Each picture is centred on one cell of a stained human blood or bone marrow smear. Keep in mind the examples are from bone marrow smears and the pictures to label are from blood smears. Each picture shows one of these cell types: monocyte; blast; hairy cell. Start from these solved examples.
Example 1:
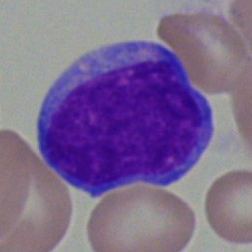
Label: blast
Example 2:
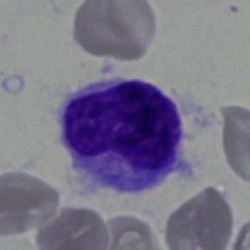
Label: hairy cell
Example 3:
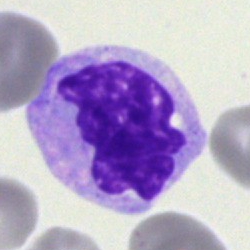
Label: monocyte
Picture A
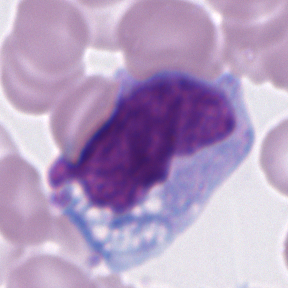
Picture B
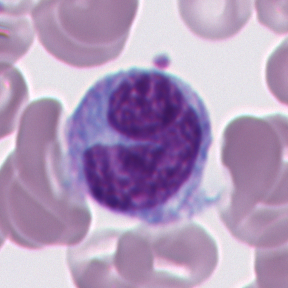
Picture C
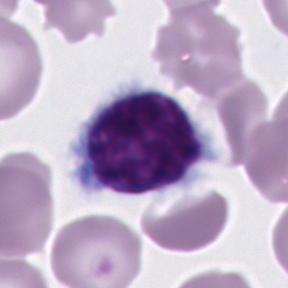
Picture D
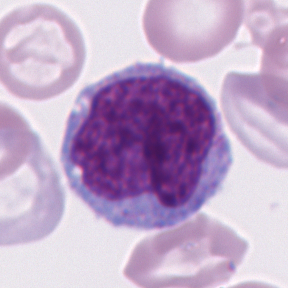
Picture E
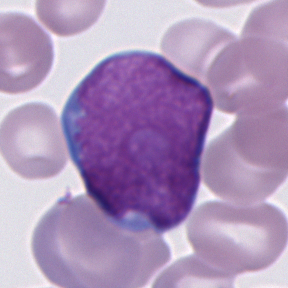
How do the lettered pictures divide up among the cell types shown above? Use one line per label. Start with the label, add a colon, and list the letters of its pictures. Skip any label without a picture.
monocyte: A, B, D
blast: E
hairy cell: C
